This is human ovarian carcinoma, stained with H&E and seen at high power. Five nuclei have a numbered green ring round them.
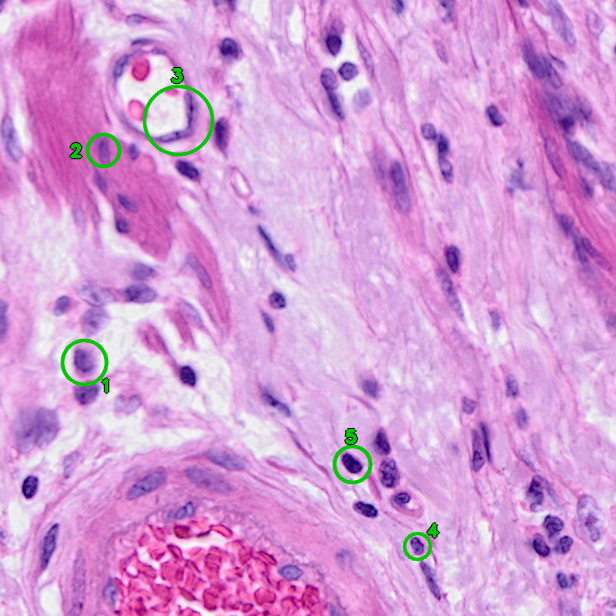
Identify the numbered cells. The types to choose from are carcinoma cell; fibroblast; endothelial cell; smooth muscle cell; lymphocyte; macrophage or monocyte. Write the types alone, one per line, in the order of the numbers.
macrophage or monocyte
smooth muscle cell
endothelial cell
lymphocyte
lymphocyte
